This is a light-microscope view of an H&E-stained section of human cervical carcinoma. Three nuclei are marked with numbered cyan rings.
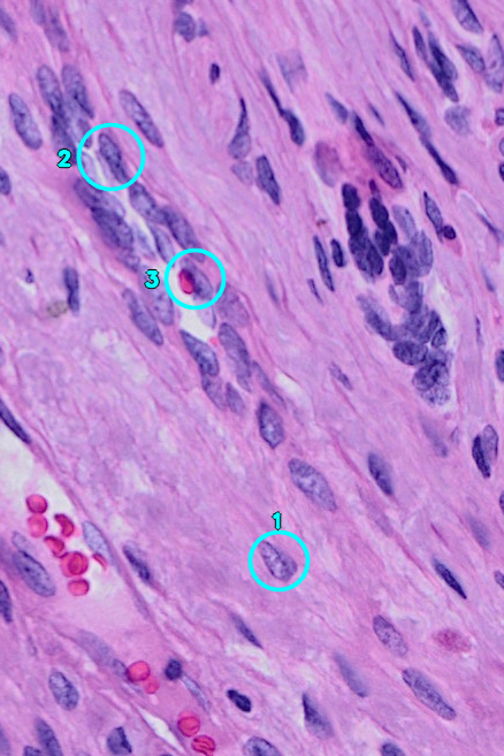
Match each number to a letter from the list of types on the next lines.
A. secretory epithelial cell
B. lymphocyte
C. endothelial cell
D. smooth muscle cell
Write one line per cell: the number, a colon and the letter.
1: D
2: C
3: C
